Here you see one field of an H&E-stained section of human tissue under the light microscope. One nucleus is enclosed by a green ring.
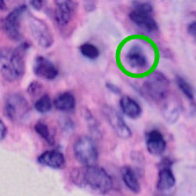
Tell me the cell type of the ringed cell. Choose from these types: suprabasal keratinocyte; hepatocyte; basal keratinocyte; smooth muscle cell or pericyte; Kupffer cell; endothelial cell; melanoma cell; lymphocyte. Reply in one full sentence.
This is a lymphocyte.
